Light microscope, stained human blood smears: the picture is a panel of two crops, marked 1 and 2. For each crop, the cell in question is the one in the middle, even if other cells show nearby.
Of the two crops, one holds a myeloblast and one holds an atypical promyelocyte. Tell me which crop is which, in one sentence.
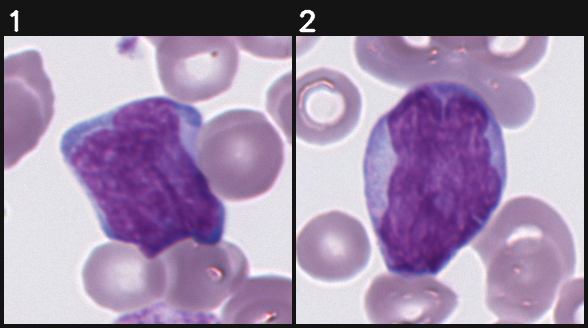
The cell that crop 1 centres on is a myeloblast, and the cell that crop 2 centres on is an atypical promyelocyte.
